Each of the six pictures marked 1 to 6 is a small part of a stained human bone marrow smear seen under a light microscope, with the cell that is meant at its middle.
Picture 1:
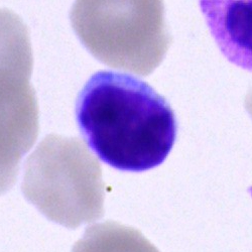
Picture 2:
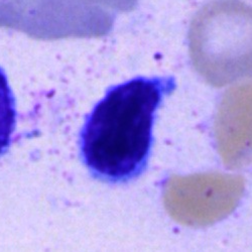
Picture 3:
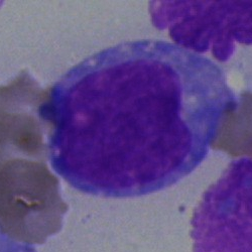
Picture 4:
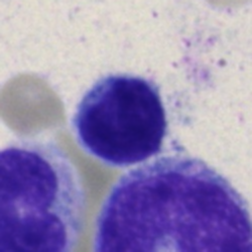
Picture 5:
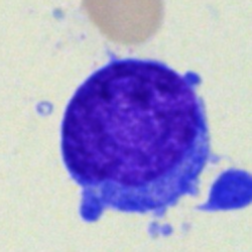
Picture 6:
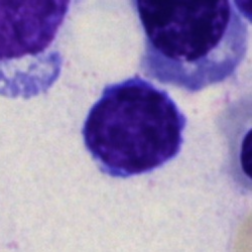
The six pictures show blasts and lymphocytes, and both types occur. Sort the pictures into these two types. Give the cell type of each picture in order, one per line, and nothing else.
lymphocyte
lymphocyte
blast
lymphocyte
blast
lymphocyte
